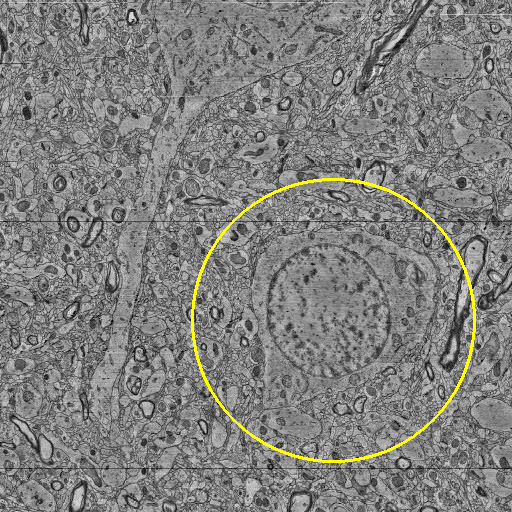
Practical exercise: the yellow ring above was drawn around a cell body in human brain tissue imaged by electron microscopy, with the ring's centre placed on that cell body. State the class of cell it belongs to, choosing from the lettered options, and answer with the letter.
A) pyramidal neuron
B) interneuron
B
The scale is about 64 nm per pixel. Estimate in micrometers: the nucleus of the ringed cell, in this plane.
In this plane, the nucleus measures approximately 8 micrometres across.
